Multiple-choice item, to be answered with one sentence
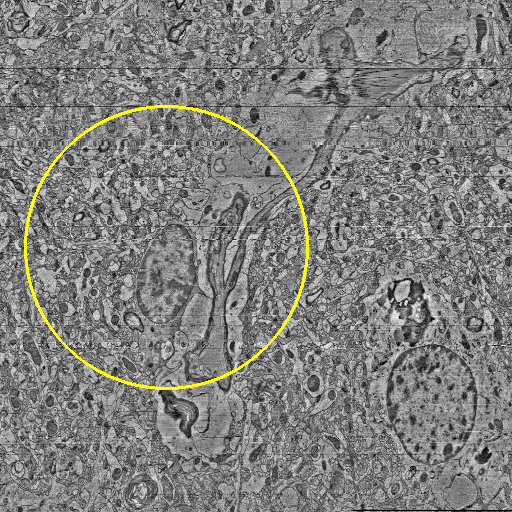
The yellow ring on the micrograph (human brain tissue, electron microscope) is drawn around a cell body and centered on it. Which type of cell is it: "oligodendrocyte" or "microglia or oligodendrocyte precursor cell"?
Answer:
The ring is centered on an oligodendrocyte.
